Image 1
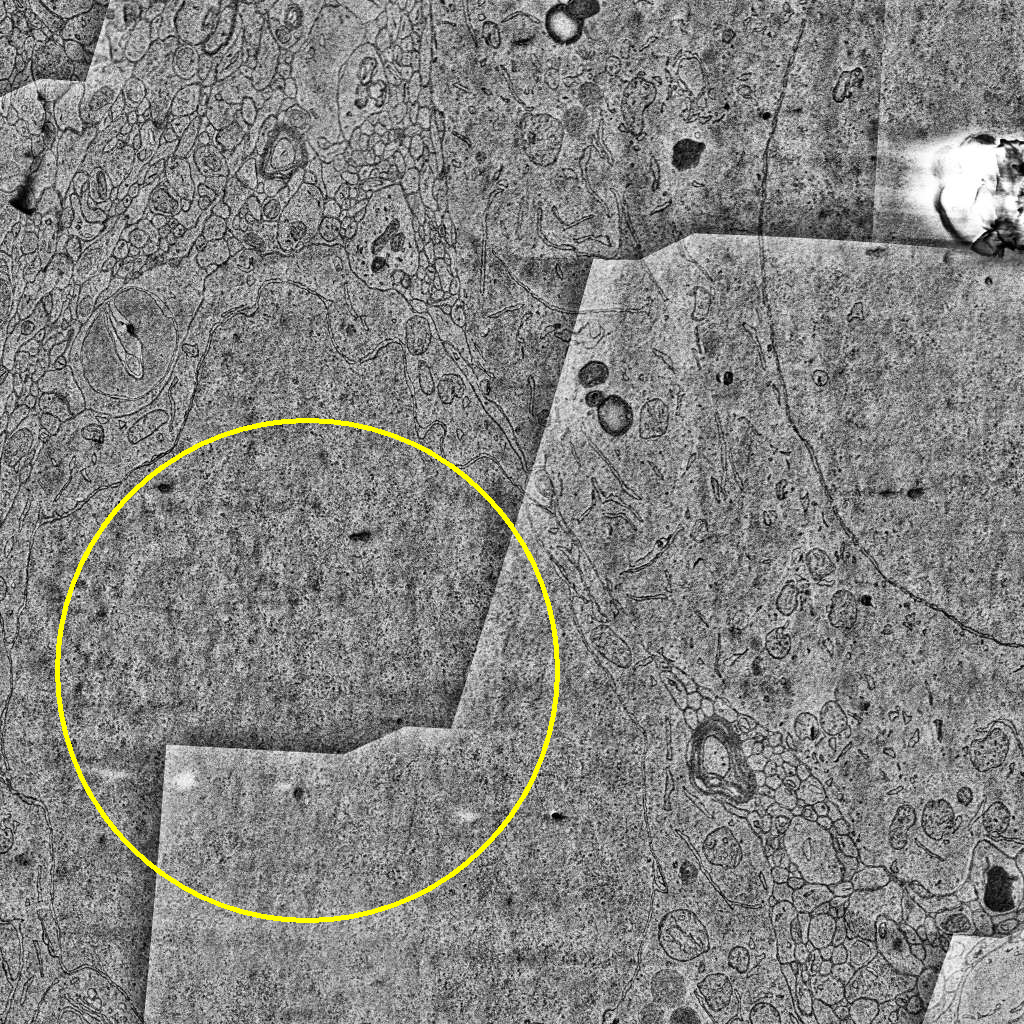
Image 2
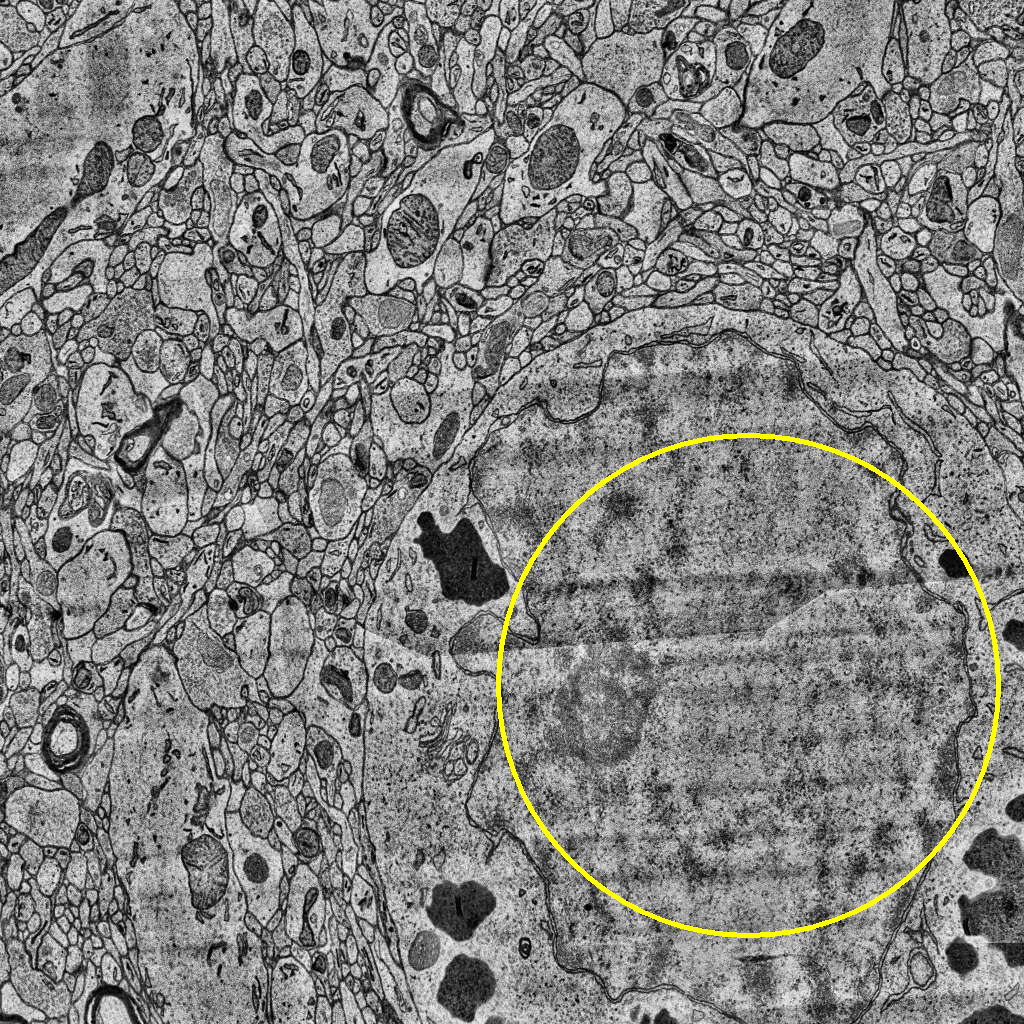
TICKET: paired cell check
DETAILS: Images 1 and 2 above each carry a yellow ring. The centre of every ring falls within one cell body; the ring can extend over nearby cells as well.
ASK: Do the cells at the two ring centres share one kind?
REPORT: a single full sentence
Yes, the cells at the ring centres of Images 1 and 2 belong to a single kind.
